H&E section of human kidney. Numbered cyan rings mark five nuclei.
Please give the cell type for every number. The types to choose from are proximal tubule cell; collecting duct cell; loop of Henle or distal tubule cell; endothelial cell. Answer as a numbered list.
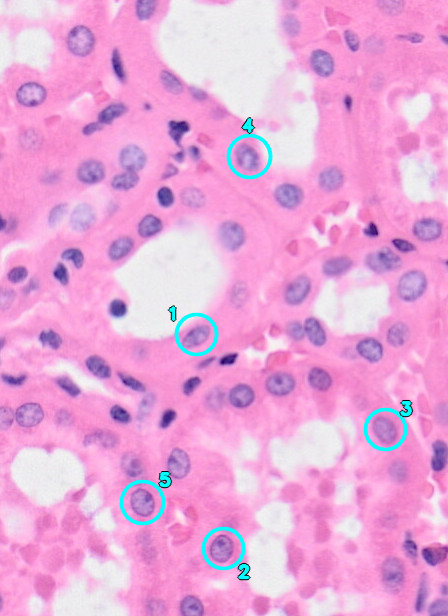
1. loop of Henle or distal tubule cell
2. proximal tubule cell
3. proximal tubule cell
4. loop of Henle or distal tubule cell
5. proximal tubule cell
